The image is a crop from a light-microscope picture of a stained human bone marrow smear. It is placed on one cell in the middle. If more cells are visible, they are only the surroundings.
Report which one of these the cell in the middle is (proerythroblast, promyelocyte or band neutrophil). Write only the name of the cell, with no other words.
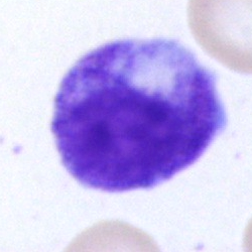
promyelocyte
